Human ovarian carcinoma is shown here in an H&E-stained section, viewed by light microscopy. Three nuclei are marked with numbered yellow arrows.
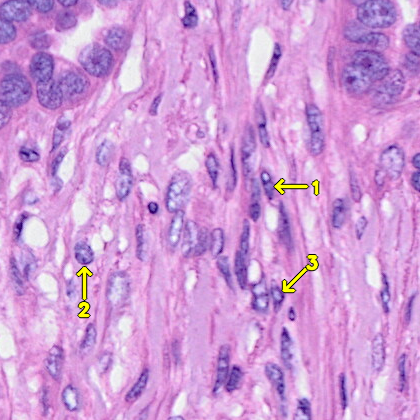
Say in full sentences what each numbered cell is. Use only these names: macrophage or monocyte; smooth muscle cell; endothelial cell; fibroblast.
Cell 1 is a fibroblast, cell 2 is a macrophage or monocyte and cell 3 is a fibroblast.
